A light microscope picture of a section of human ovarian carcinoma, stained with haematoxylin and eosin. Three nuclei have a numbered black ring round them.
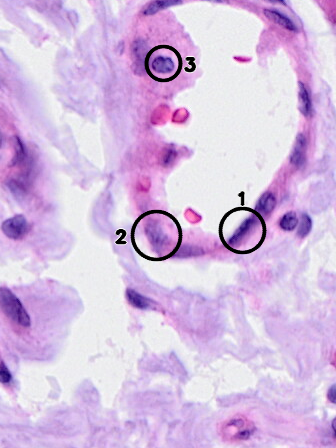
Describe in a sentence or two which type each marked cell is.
Cells 1 and 2 are endothelial cells. Cell 3 is a lymphocyte.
